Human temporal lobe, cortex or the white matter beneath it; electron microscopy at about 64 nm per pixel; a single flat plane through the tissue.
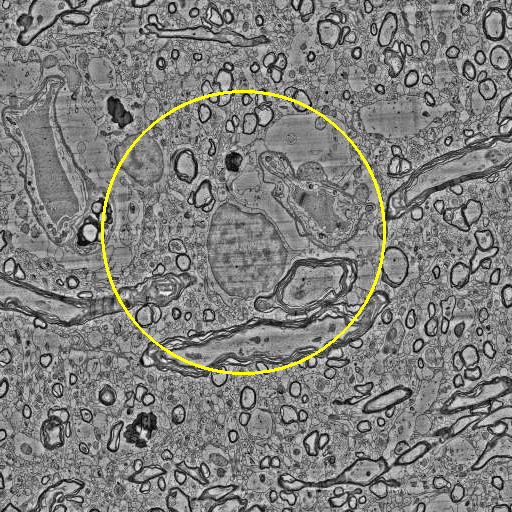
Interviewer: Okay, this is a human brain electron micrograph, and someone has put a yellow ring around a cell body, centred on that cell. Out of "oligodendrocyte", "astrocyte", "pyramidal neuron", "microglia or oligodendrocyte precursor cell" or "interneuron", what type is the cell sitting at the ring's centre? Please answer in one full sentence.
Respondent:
The cell at the centre of the yellow ring in this picture is an oligodendrocyte.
